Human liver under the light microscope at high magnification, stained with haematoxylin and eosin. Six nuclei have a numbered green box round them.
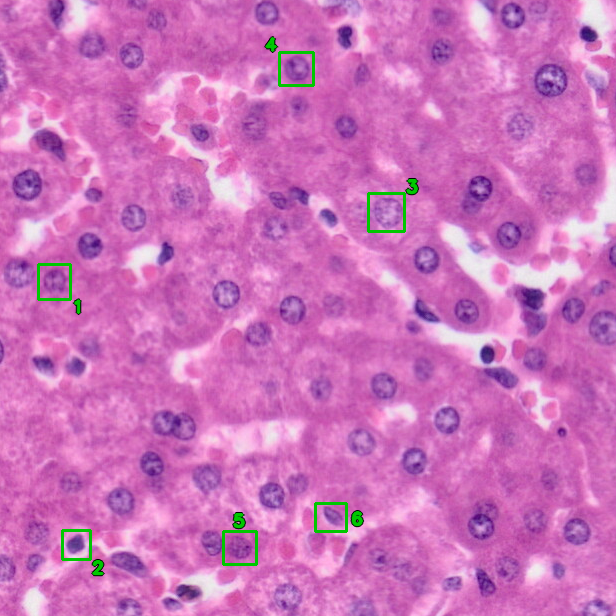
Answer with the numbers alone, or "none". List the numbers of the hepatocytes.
1, 3, 4, 5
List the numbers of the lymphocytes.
2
